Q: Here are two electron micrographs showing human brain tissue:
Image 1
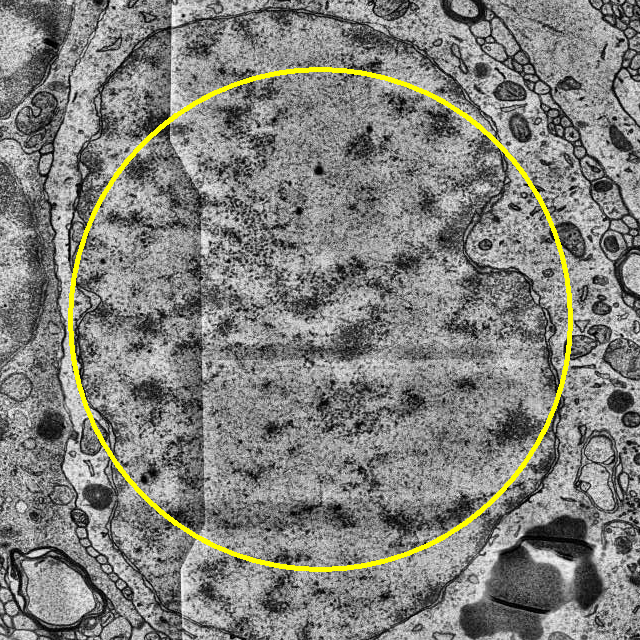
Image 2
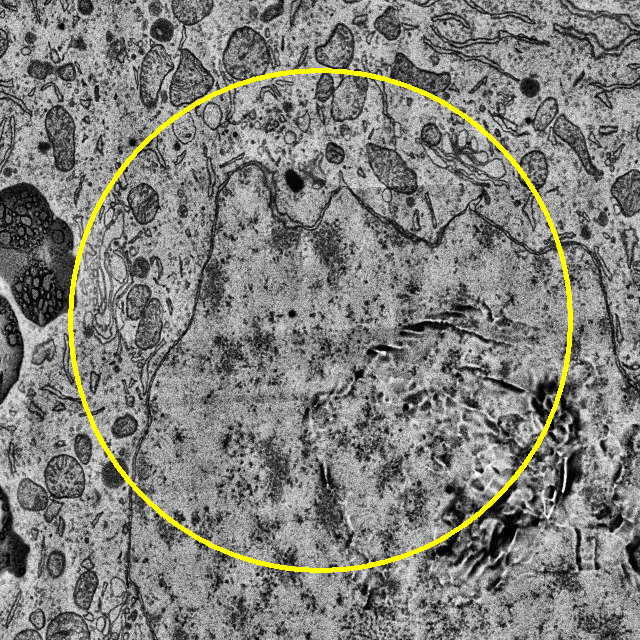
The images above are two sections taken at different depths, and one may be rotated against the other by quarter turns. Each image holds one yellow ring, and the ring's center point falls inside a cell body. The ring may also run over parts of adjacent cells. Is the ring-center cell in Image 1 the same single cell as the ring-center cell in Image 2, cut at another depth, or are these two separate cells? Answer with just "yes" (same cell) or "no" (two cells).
no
